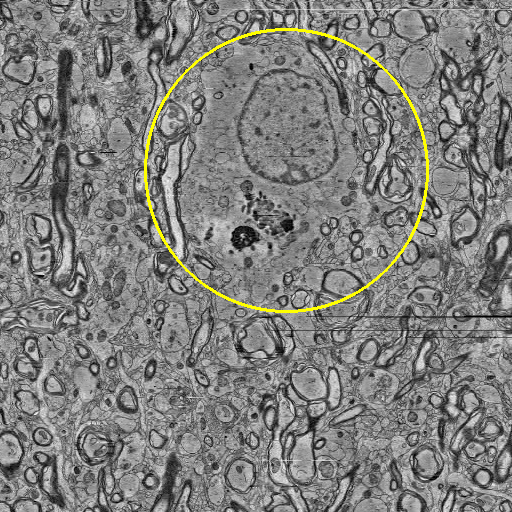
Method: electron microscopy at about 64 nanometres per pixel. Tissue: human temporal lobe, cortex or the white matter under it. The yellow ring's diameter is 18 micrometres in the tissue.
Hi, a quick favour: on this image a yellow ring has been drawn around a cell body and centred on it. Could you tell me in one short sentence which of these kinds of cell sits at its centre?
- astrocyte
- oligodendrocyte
The ring is centred on an astrocyte.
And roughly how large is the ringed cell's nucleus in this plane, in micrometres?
About 8 by 6 micrometers, in this plane.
